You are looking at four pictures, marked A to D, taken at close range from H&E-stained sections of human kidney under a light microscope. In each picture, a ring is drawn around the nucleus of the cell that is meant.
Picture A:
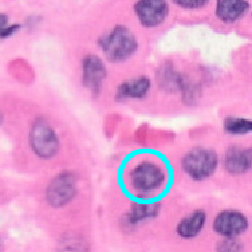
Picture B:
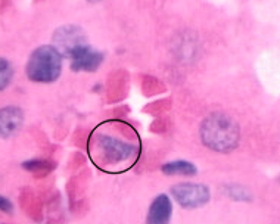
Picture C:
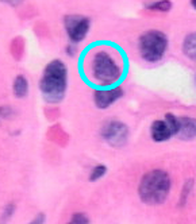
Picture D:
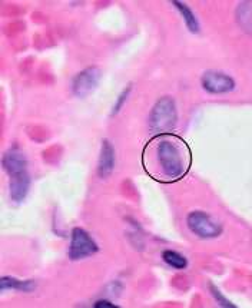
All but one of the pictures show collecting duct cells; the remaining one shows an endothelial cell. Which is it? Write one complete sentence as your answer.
The cell in picture B is the endothelial cell.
